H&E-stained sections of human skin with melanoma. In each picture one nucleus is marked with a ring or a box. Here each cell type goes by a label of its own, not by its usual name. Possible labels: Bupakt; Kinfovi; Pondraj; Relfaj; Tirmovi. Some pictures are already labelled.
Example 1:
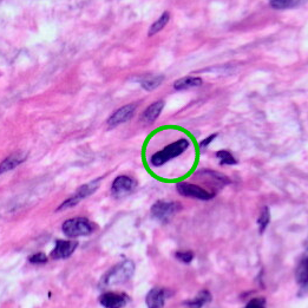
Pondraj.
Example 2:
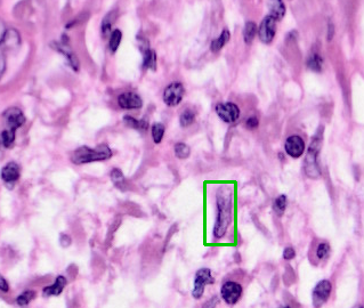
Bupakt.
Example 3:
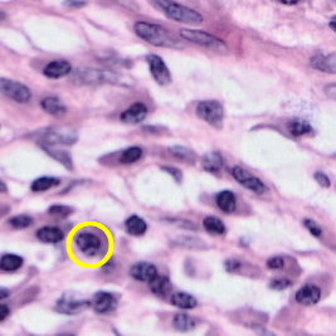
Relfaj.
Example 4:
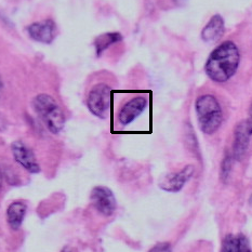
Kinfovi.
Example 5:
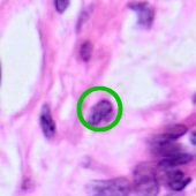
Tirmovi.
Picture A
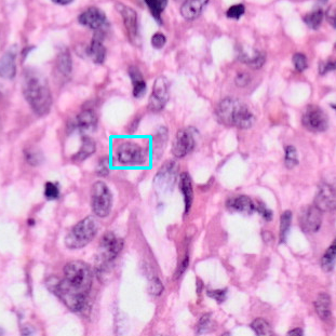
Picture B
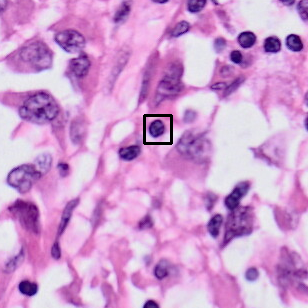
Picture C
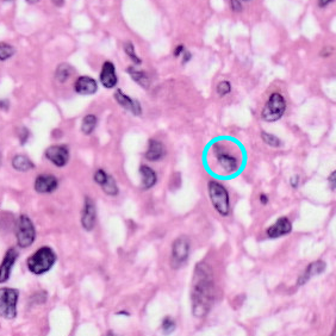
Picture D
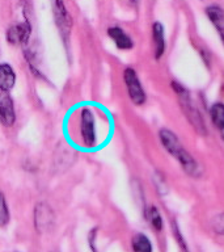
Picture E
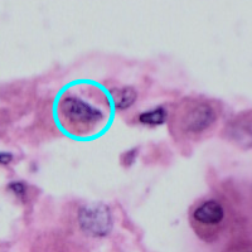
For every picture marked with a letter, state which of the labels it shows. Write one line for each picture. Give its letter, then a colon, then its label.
A: Kinfovi.
B: Pondraj.
C: Tirmovi.
D: Pondraj.
E: Tirmovi.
